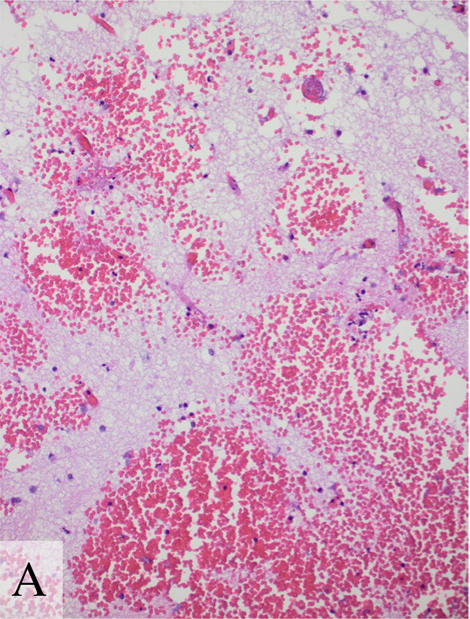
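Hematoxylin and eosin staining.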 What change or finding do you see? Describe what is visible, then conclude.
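Fresh bleedings. Large confluent sheets of intact red blood cells lie in the tissue. Few nucleated cells lie among the red cells.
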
